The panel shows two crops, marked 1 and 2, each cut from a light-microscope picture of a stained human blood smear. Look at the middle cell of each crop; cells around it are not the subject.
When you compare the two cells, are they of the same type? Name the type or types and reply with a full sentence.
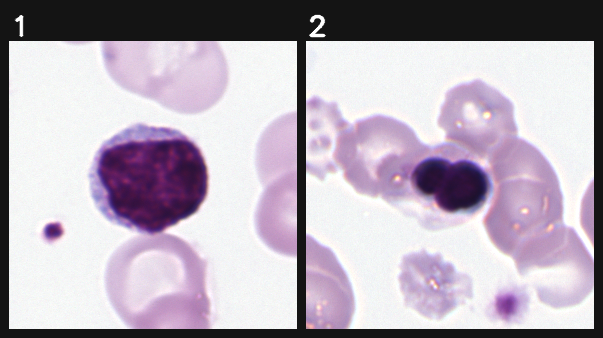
No, crop 1 is to be identified as a typical lymphocyte and crop 2 as a normoblast.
